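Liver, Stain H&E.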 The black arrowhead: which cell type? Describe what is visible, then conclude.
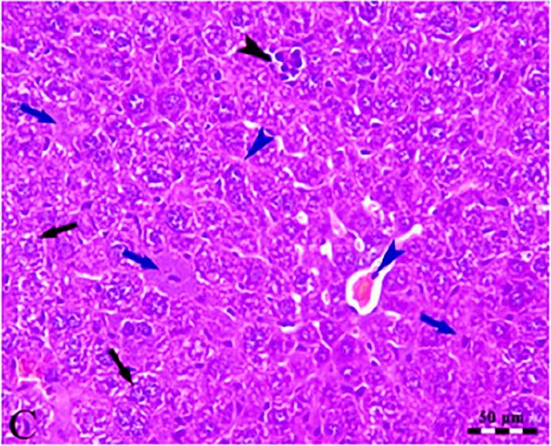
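Small lymphoid elements aggregations. A tiny group of small cells with dark, densely stained nuclei lies between hepatocytes.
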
